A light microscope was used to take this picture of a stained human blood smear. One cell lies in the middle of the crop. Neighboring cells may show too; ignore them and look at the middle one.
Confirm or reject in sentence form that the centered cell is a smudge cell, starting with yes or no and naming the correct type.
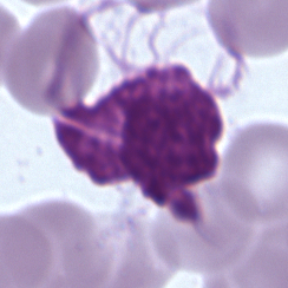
Yes, as for the central cell, it is a smudge cell.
